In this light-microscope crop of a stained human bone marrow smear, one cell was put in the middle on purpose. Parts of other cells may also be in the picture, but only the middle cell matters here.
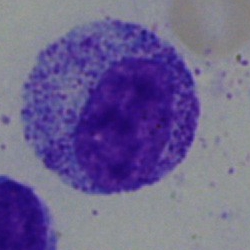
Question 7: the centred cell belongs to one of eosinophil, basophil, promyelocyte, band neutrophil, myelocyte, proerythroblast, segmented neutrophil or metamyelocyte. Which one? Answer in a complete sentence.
Here the cell in the middle is a myelocyte.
